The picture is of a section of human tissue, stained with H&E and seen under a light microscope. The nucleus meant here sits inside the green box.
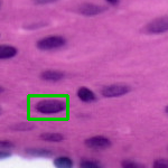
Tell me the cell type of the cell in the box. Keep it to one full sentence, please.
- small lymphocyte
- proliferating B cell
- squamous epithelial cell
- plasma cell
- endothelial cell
The cell type of the cell in the box is that of a squamous epithelial cell.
